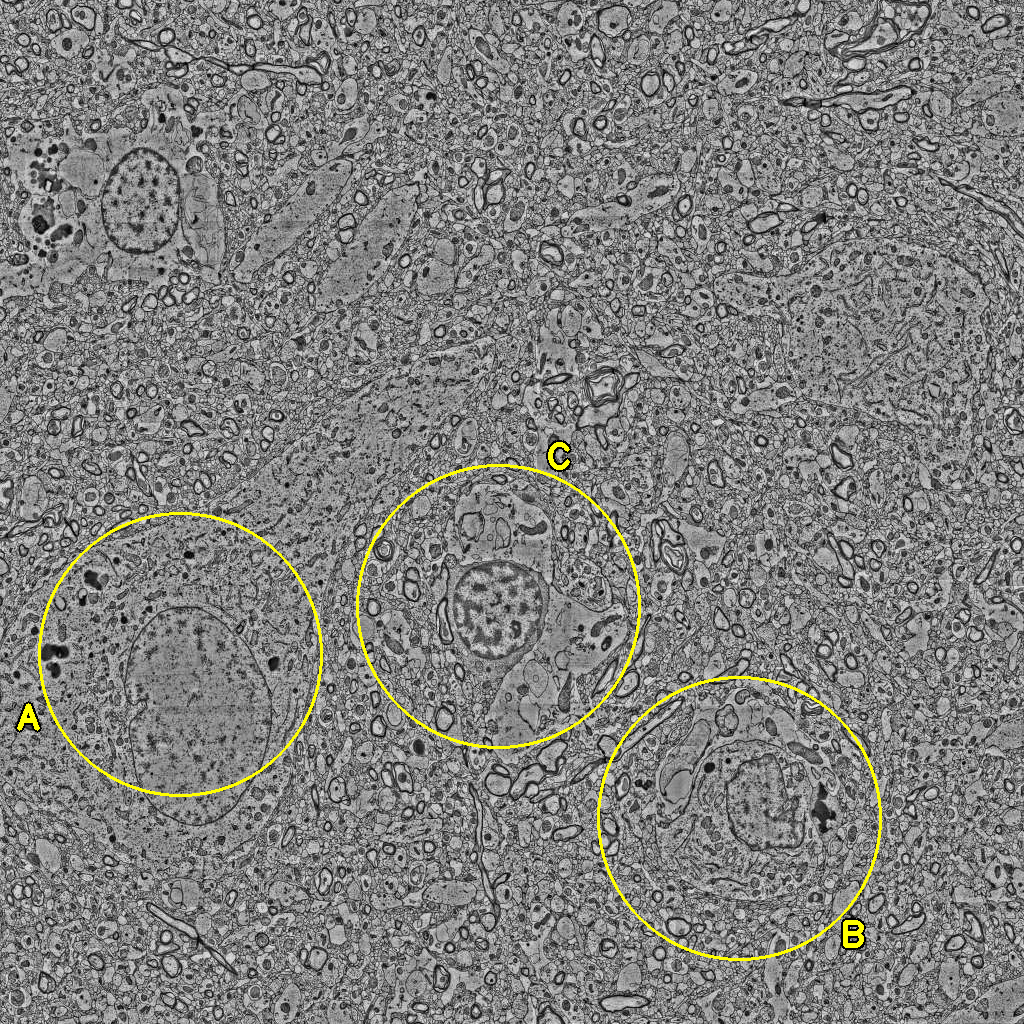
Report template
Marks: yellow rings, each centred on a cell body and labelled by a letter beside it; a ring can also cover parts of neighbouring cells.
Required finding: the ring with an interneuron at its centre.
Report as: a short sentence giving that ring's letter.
Ring B holds that cell at its centre.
